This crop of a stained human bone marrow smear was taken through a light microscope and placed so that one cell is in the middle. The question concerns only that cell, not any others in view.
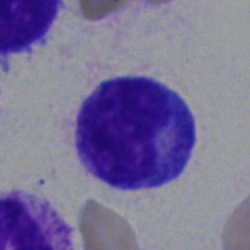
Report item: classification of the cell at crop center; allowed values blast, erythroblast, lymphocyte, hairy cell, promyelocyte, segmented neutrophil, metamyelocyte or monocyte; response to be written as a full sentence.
By type, the central cell of the crop is a lymphocyte.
